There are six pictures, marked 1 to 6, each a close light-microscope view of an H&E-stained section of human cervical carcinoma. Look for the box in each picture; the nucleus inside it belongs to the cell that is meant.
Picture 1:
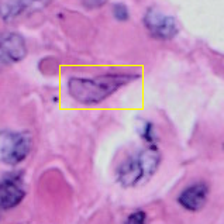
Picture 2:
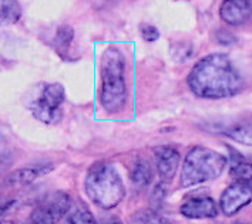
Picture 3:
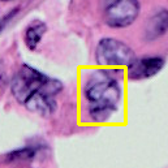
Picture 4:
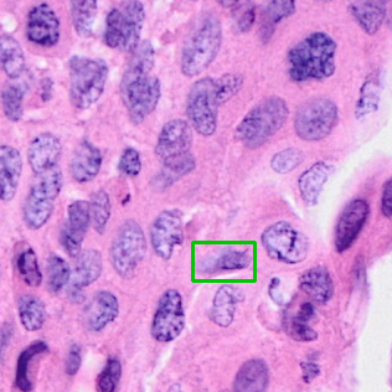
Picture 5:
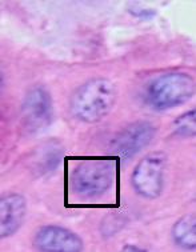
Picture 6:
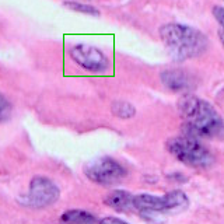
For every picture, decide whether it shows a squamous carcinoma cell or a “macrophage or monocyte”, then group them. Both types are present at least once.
1: macrophage or monocyte
2: macrophage or monocyte
3: squamous carcinoma cell
4: squamous carcinoma cell
5: squamous carcinoma cell
6: squamous carcinoma cell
